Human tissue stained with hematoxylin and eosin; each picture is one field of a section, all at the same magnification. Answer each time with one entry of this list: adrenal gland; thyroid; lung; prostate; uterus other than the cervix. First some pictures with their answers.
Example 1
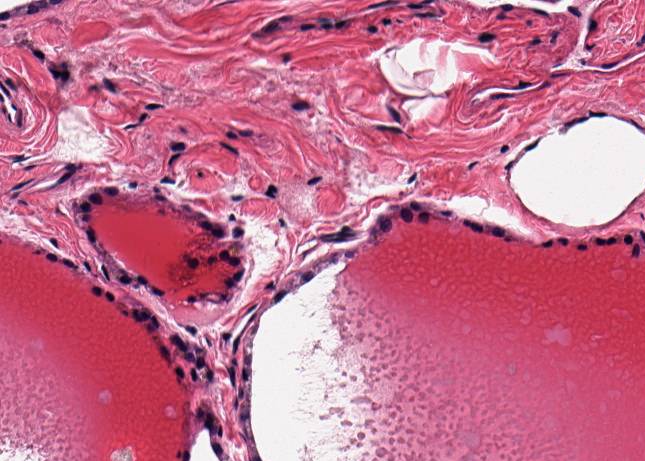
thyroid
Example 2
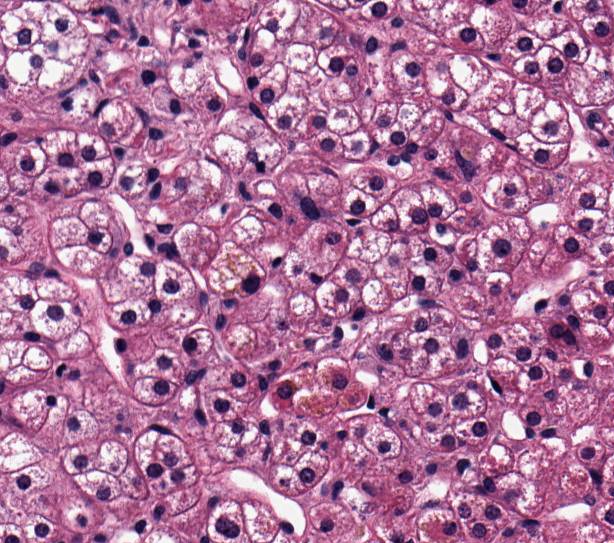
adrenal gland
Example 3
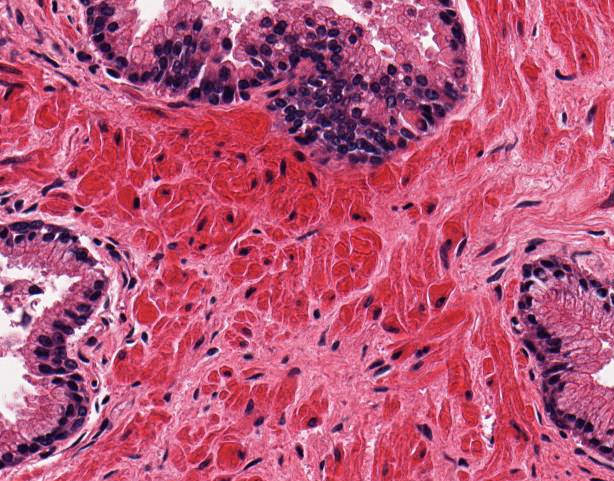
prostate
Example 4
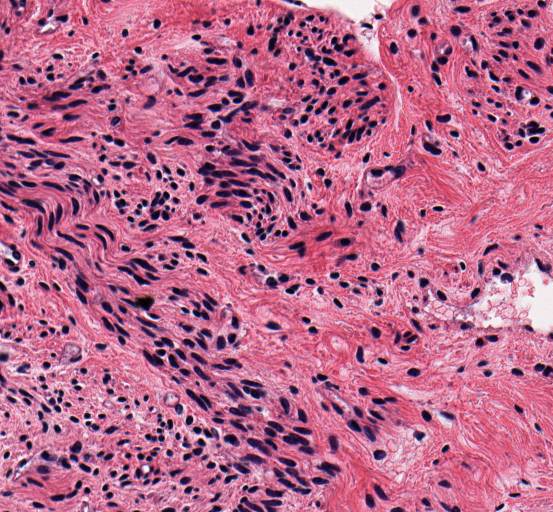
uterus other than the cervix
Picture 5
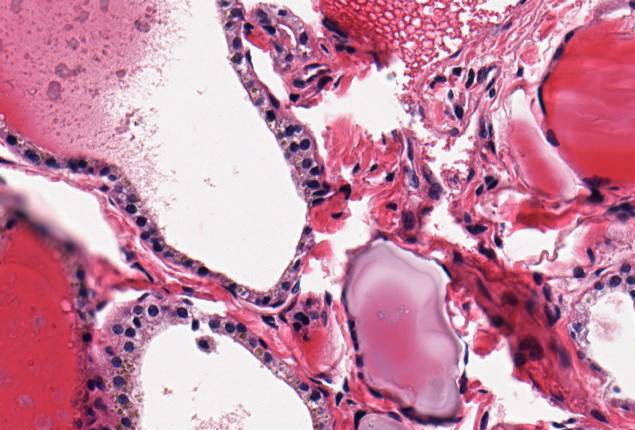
thyroid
